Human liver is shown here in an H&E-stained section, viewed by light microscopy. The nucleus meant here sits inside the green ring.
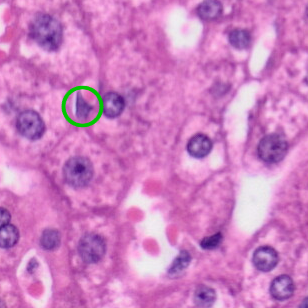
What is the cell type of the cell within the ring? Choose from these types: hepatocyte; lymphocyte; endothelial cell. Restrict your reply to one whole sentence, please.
In the context of this tissue, the cell within the ring is an endothelial cell.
